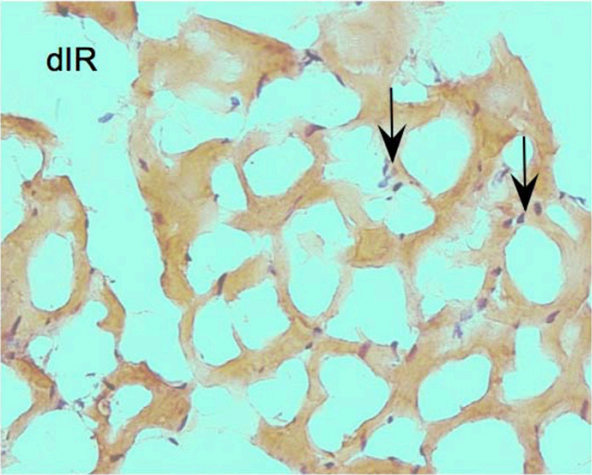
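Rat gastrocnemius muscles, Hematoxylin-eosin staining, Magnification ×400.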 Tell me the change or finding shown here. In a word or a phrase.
Extensive necrosis and cell lysis.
